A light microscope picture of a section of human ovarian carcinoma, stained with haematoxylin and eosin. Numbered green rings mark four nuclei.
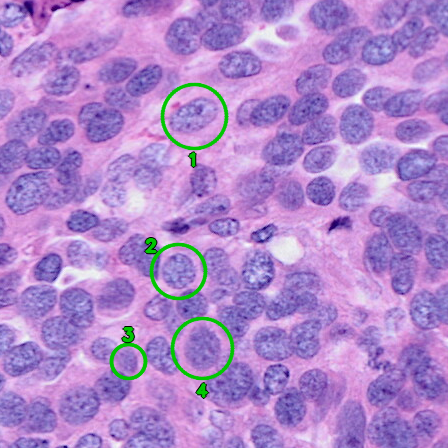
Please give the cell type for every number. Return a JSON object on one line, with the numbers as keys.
{"1": "fibroblast", "2": "carcinoma cell", "3": "carcinoma cell", "4": "carcinoma cell"}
